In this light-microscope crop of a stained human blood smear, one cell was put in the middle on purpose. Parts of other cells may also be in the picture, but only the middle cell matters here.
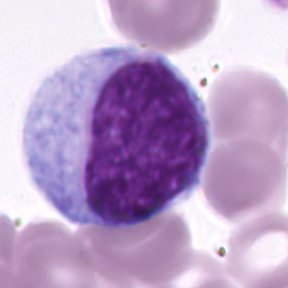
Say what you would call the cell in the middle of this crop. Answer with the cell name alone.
promyelocyte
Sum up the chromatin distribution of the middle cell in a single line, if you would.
You can see that its chromatin is coarsely clumped.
